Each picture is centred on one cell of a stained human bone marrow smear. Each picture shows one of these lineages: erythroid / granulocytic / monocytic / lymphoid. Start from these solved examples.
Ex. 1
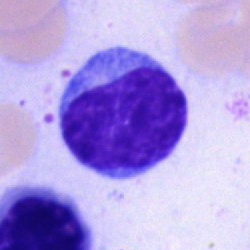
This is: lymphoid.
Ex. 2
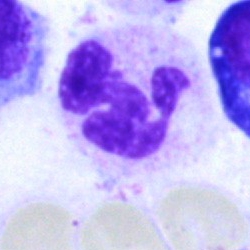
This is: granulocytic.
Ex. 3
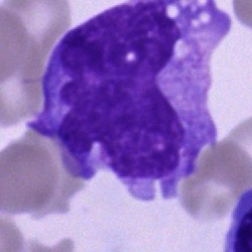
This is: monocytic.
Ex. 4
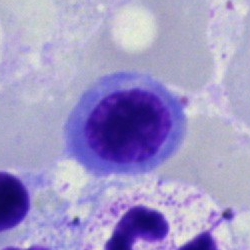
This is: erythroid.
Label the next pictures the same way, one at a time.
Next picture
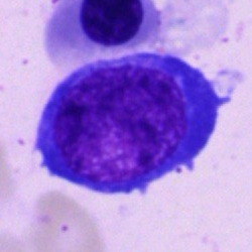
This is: erythroid.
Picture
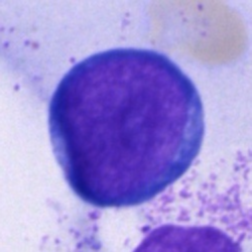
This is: erythroid.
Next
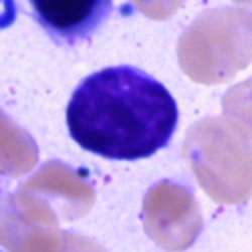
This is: lymphoid.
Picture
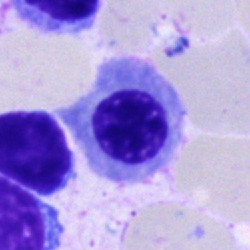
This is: erythroid.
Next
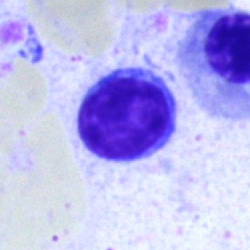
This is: lymphoid.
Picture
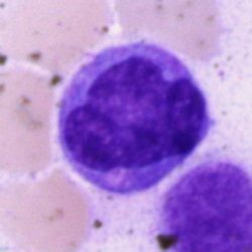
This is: monocytic.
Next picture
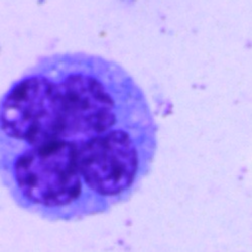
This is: monocytic.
